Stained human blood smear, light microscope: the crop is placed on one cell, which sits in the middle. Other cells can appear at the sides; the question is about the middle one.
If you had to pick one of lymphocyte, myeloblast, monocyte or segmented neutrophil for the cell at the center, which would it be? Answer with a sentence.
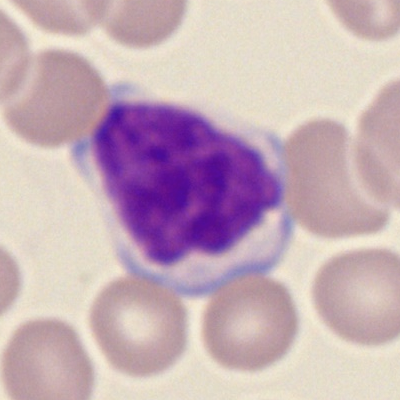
Regarding the central cell, it is a lymphocyte.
